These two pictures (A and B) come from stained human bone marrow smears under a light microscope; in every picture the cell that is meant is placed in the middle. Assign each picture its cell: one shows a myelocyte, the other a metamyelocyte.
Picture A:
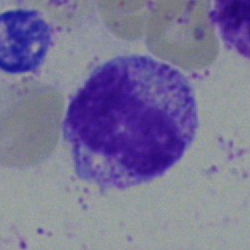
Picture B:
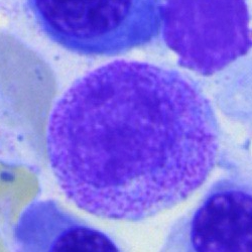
A: metamyelocyte
B: myelocyte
